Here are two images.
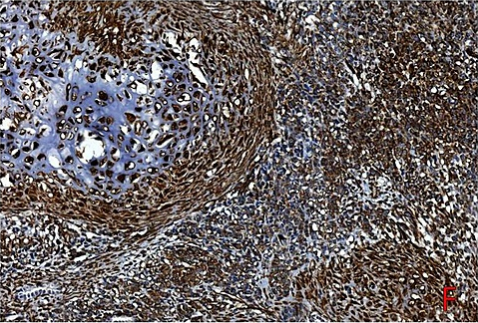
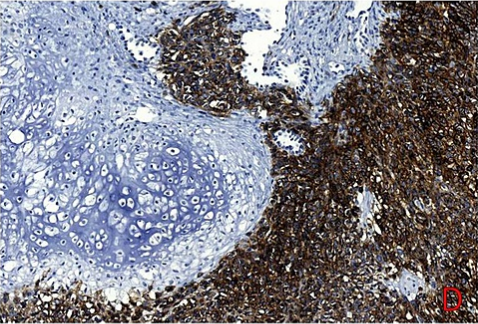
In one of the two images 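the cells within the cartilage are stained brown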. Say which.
The first image.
